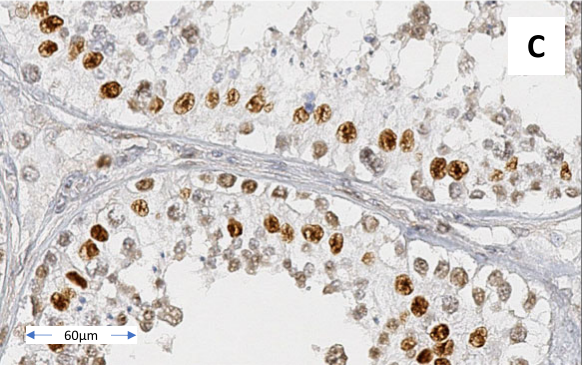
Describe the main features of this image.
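Two seminiferous tubules with normal spermatogenesis are separated by a thin band of interstitium whose flattened nuclei stain pale blue. Within each tubule the germ cells are layered: a row of large round nuclei stains dark brown, and smaller round nuclei with weaker brownish staining crowd toward the lumen.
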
